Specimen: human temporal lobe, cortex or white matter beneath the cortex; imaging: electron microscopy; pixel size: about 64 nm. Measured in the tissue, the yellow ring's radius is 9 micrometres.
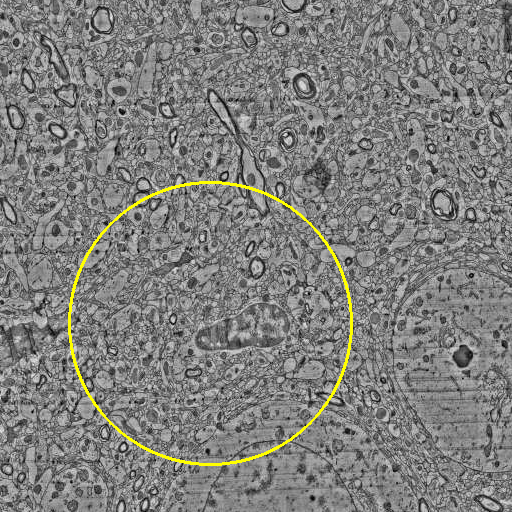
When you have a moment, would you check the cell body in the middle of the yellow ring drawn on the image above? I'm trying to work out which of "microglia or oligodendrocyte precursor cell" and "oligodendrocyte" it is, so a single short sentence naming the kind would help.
This cell body belongs to a microglial cell or oligodendrocyte precursor cell.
